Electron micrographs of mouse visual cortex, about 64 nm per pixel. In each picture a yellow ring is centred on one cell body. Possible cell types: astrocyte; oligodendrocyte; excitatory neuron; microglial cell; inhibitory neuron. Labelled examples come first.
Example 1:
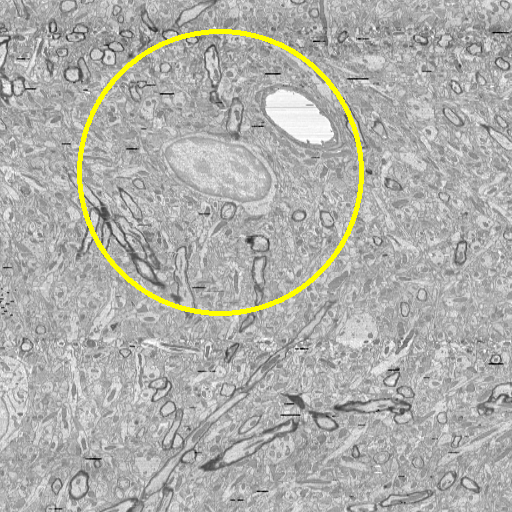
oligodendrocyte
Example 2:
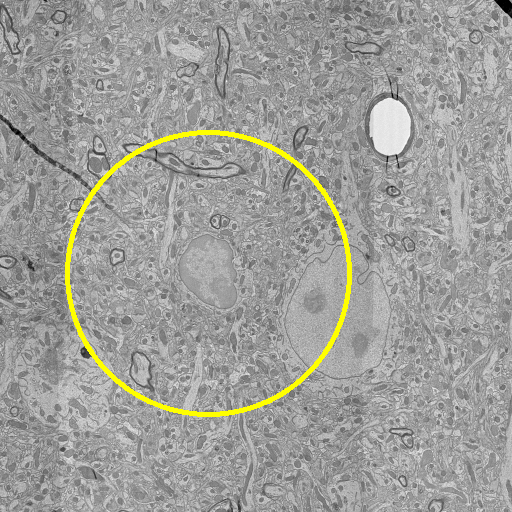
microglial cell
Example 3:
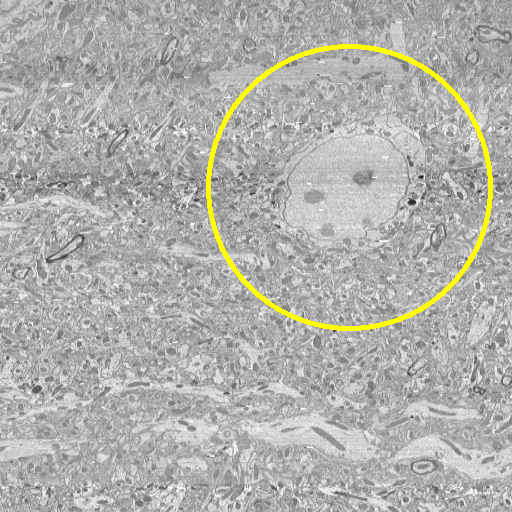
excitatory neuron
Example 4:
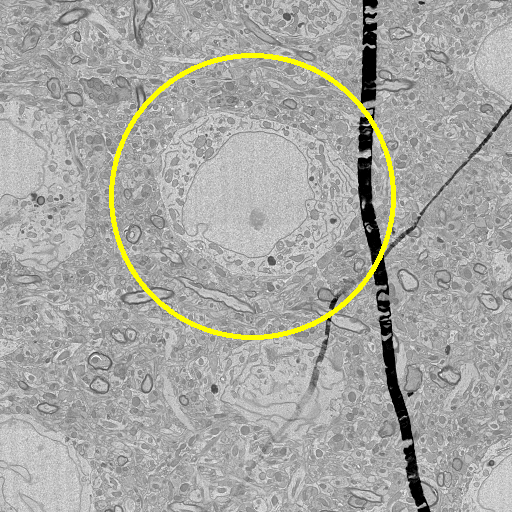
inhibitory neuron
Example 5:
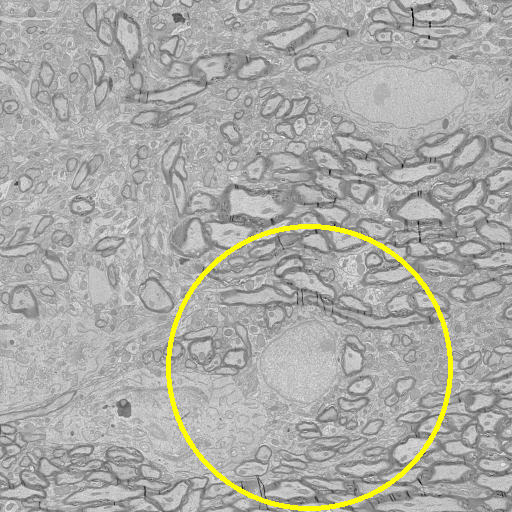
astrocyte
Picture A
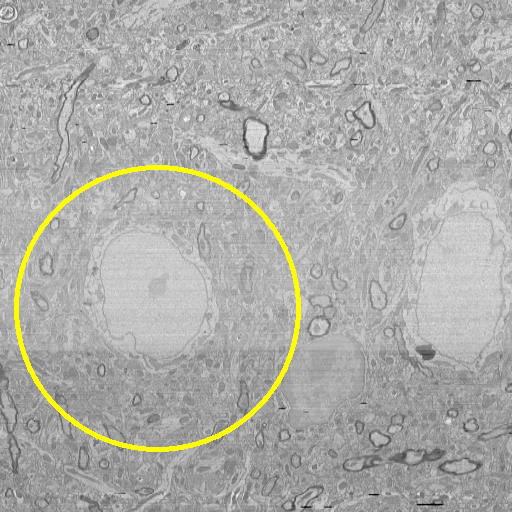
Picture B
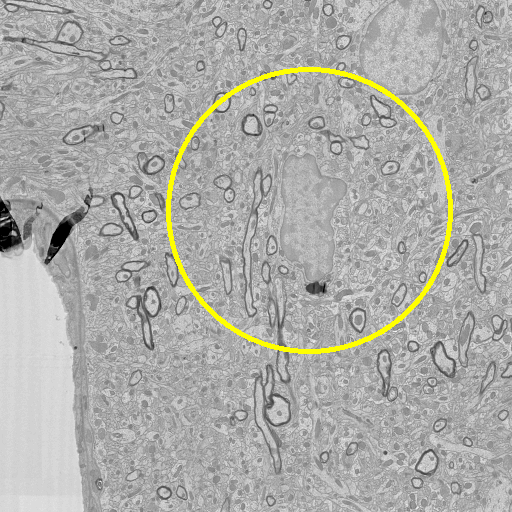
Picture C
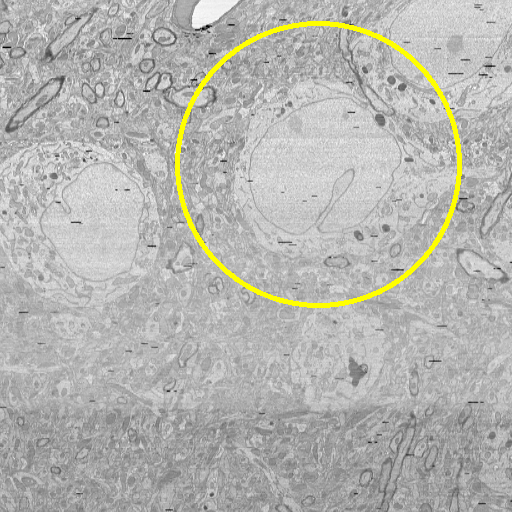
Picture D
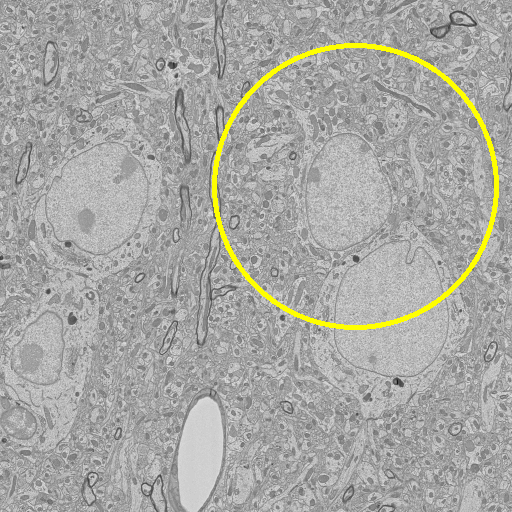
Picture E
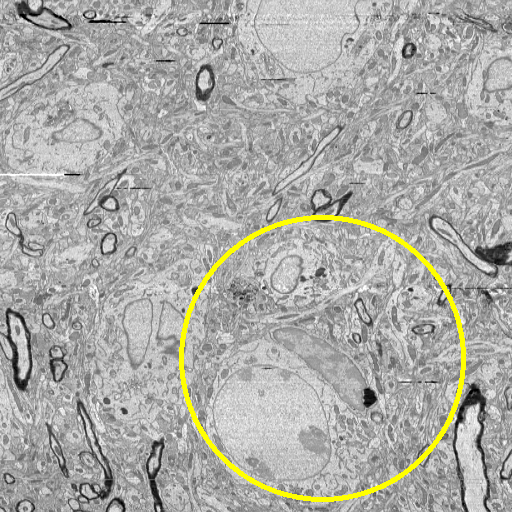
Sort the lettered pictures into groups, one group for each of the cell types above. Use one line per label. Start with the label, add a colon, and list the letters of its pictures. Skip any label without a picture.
astrocyte: D
excitatory neuron: A, C
microglial cell: B, E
